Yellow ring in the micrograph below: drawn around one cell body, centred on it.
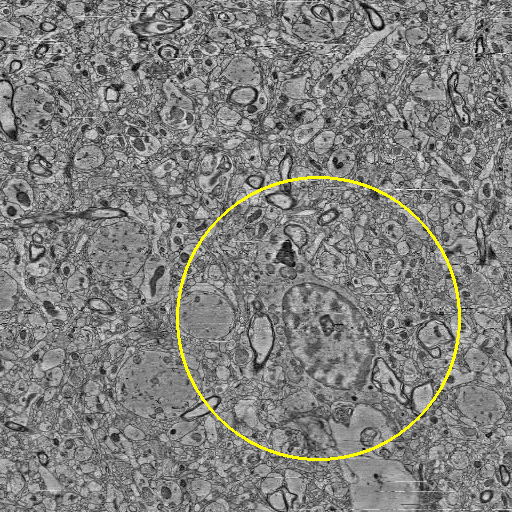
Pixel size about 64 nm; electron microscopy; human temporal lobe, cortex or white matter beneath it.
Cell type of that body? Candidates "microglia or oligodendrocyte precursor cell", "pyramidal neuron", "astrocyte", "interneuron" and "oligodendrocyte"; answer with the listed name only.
oligodendrocyte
